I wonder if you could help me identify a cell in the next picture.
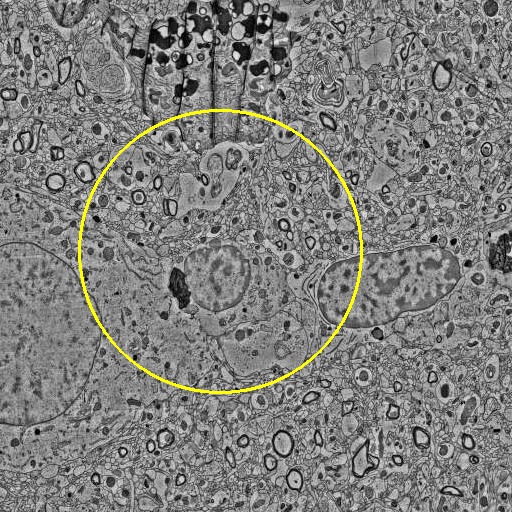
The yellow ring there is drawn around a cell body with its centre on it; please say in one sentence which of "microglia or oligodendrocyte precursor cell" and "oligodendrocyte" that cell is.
The yellow ring is centred on an oligodendrocyte.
